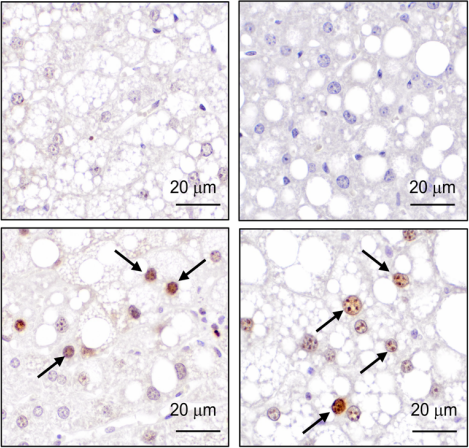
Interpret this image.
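This is liver tissue made up of large polygonal hepatocytes with round nuclei and pale, vacuolated cytoplasm. Round clear vacuoles of many sizes are scattered between and within the cells. In the upper row the nuclei are blue with at most a faint brownish tinge. In the lower row many hepatocyte nuclei, marked by arrows, are stained brown, often with a speckled or dotted pattern inside the nucleus. The stained nuclei keep their round shape and lie among unstained neighbours.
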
